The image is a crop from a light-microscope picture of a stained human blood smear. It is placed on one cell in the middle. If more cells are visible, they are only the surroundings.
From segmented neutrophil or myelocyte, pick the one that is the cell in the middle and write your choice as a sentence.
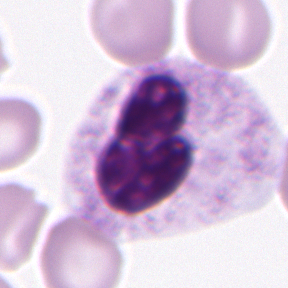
Standing at the centre of this crop is a segmented neutrophil.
